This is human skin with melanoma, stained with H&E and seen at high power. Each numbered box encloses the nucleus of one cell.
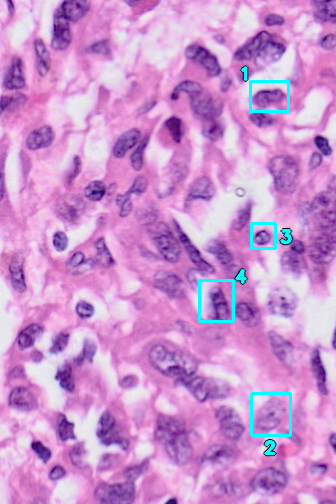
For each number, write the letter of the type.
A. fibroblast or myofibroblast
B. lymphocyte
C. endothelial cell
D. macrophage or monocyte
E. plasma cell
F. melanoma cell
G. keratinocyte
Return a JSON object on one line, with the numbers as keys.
{"1": "F", "2": "F", "3": "B", "4": "F"}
